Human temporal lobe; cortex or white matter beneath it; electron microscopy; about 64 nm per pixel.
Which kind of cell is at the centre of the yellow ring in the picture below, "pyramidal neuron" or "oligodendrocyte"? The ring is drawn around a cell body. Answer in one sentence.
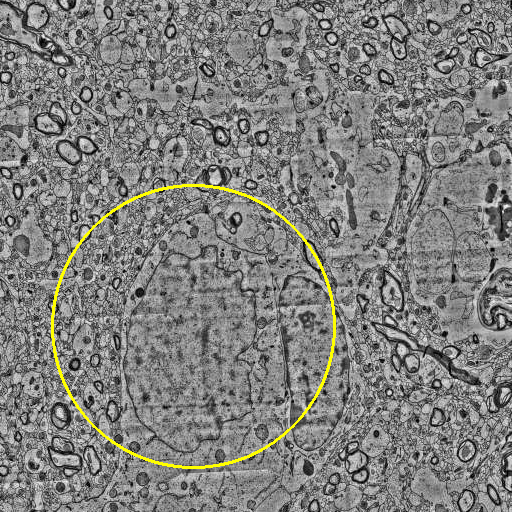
The ring's central cell is a pyramidal neuron.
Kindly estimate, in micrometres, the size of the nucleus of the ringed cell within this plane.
The nucleus is approximately 13 micrometers long by 9 micrometers wide in this plane.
